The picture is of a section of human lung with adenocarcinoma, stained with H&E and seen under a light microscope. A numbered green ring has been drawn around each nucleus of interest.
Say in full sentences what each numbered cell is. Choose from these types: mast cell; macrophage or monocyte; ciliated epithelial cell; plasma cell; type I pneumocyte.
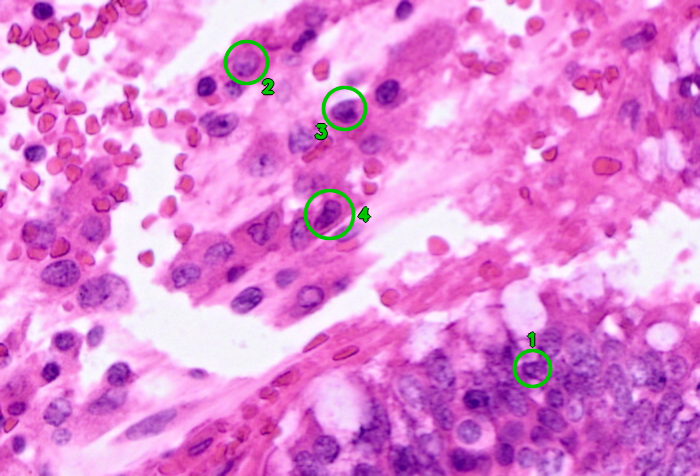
Cell 1 is a ciliated epithelial cell. Cells 2, 3 and 4 are macrophages or monocytes.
